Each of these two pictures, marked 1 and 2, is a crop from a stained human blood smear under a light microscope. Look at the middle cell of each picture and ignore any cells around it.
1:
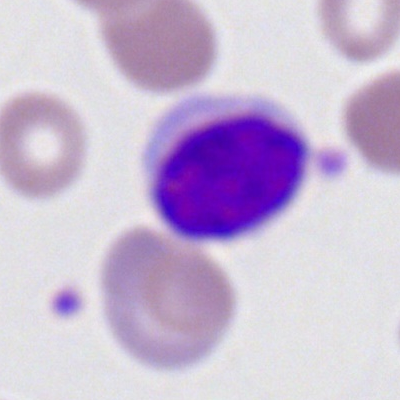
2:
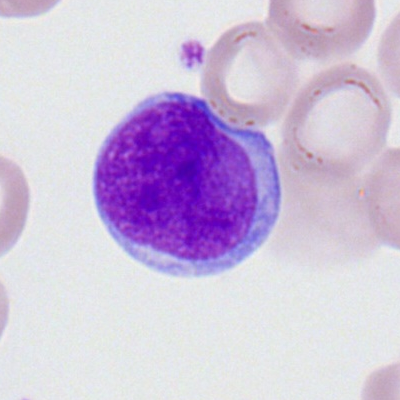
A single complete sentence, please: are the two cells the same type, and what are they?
No, crop 1 shows a lymphocyte, and crop 2, by contrast, shows a myeloblast.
